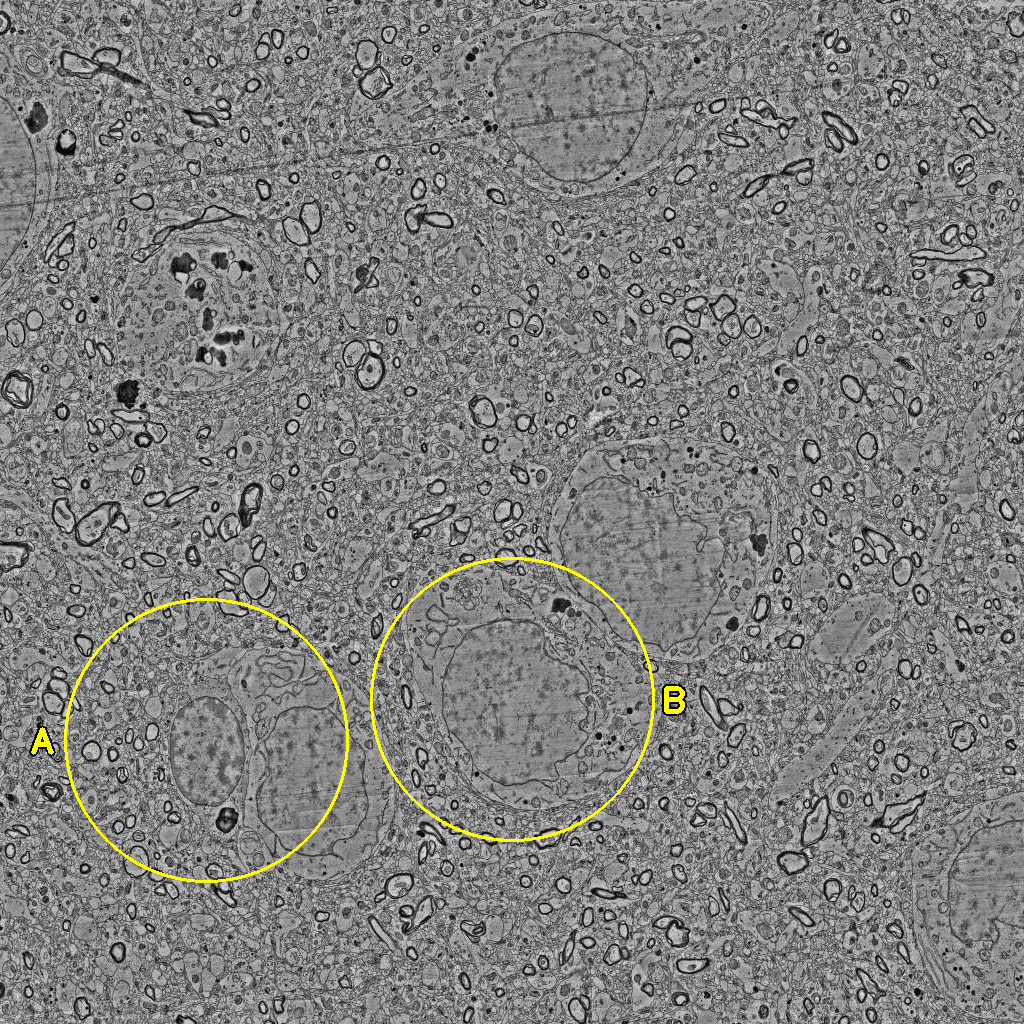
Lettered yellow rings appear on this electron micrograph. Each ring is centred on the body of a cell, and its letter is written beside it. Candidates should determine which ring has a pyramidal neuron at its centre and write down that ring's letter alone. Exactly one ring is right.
B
